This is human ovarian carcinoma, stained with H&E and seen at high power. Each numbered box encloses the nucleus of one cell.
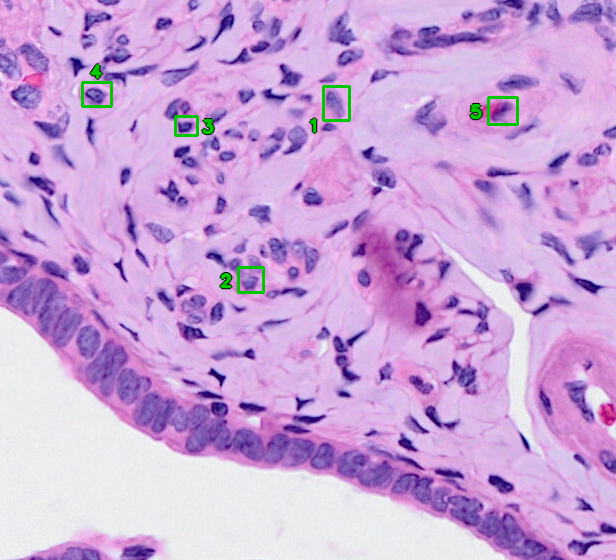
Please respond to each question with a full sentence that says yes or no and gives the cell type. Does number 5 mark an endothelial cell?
Yes, the numbered nucleus 5 is that of an endothelial cell.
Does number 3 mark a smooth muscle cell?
Yes, the cell numbered 3 in this tissue is a smooth muscle cell.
